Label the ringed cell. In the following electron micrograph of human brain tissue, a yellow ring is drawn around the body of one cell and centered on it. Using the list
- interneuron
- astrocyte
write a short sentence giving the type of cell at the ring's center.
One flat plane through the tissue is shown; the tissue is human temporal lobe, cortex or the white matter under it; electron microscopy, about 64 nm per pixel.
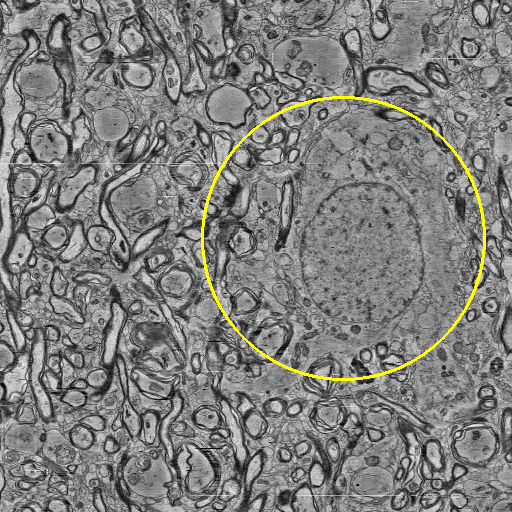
The cell body at the ring's center is that of an astrocyte.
